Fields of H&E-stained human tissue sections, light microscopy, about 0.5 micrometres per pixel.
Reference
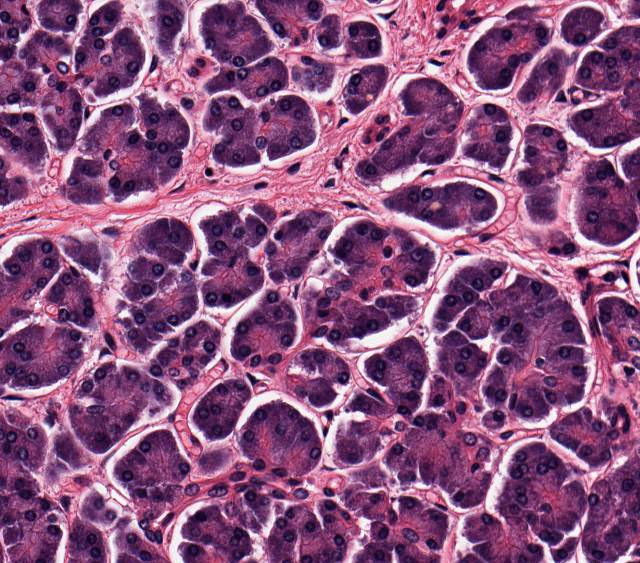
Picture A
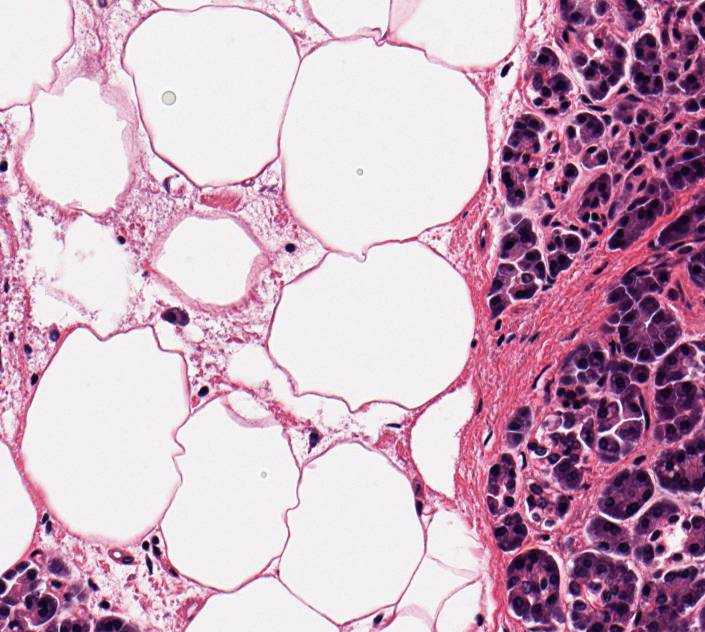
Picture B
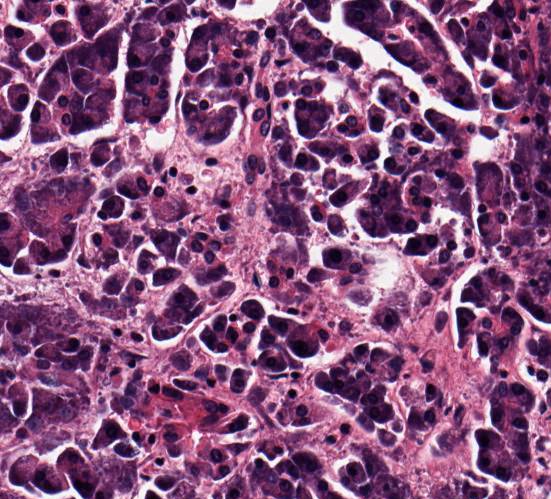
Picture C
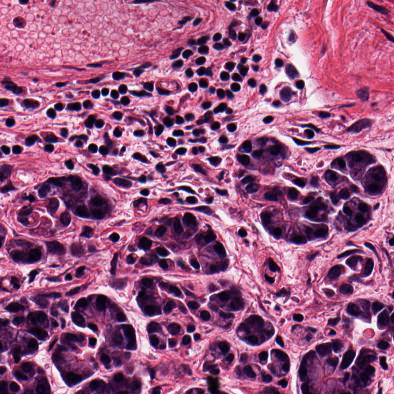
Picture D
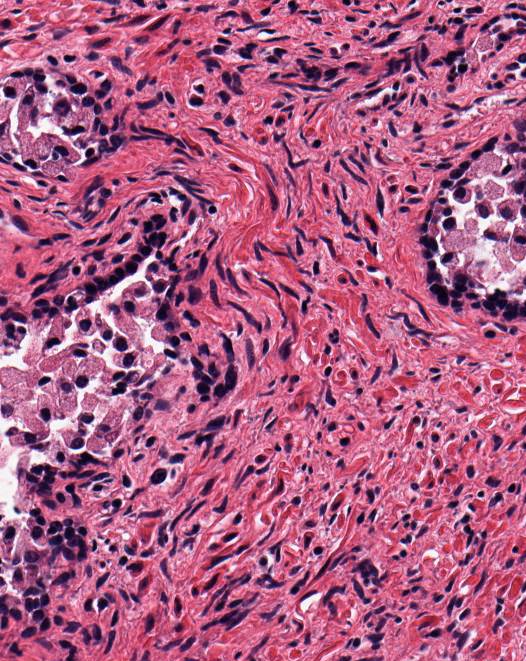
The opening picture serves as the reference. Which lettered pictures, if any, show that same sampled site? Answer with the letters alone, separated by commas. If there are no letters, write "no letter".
A, B, C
